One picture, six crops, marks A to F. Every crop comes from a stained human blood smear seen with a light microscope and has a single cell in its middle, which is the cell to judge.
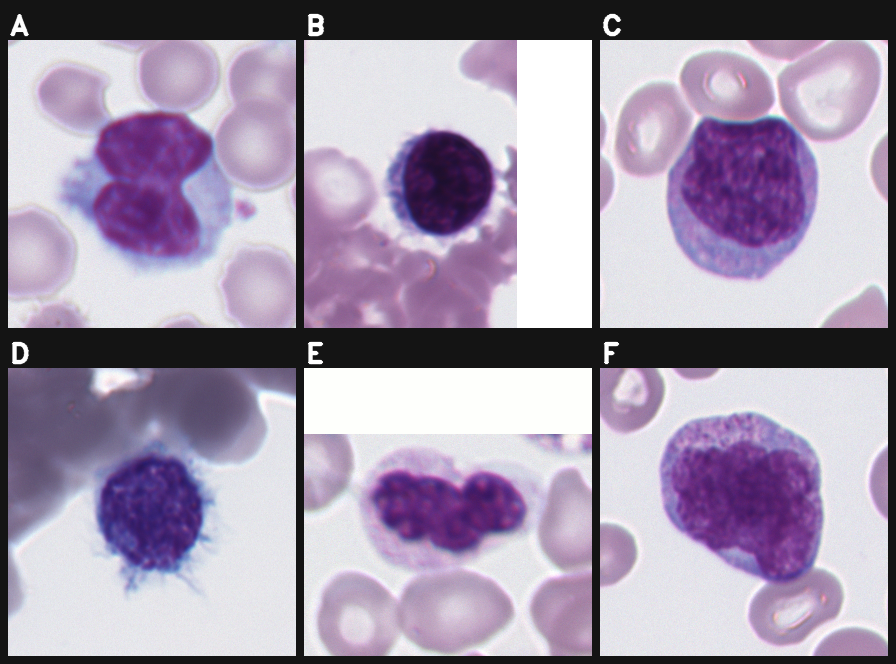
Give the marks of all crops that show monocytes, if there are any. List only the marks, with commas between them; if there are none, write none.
none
